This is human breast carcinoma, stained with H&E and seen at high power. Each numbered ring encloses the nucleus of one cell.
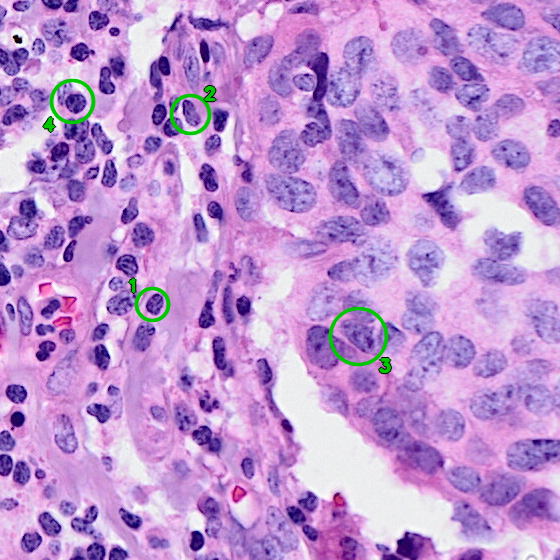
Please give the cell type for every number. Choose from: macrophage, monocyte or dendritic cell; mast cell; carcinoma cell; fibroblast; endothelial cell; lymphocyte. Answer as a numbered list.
1. lymphocyte
2. lymphocyte
3. carcinoma cell
4. lymphocyte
